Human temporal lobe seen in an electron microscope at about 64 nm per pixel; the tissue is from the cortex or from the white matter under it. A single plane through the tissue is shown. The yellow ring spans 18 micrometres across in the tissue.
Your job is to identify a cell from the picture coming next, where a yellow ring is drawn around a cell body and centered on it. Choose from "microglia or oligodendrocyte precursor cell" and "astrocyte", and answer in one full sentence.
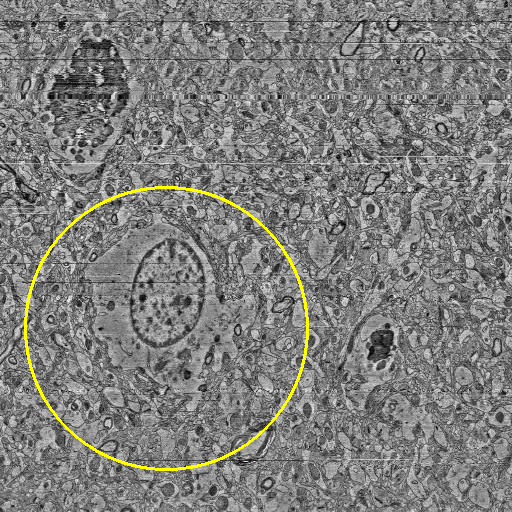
Centered in the yellow ring of the picture is the body of an astrocyte.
